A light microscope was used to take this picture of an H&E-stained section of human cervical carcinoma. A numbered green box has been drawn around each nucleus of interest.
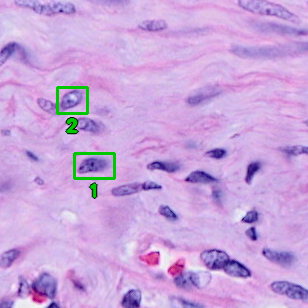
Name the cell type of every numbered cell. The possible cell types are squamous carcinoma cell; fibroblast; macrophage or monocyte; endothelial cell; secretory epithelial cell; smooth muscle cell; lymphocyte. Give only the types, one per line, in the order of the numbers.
fibroblast
smooth muscle cell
